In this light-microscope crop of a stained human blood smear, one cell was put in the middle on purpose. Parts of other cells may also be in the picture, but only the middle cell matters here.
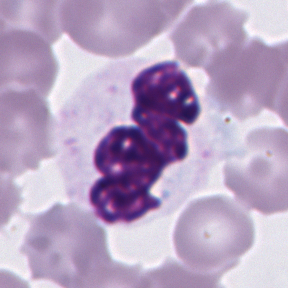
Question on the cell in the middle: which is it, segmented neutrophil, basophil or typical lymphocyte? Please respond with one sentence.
The cell at the central position in this crop is a segmented neutrophil.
